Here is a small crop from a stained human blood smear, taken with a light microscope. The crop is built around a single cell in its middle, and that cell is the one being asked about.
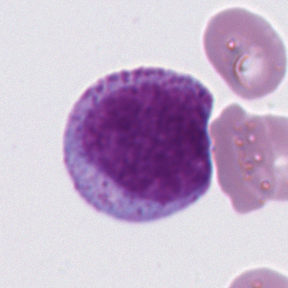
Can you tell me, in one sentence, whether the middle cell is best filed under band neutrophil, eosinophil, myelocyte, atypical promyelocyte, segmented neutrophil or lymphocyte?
Where the crop is centred, there is a myelocyte.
